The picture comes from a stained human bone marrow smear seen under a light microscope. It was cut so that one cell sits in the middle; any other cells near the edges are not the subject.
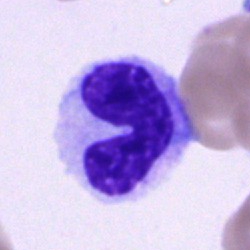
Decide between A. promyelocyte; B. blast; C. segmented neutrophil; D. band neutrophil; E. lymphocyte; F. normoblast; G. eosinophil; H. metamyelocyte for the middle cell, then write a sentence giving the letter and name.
The cell in the middle is a band neutrophil, so option D is correct.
